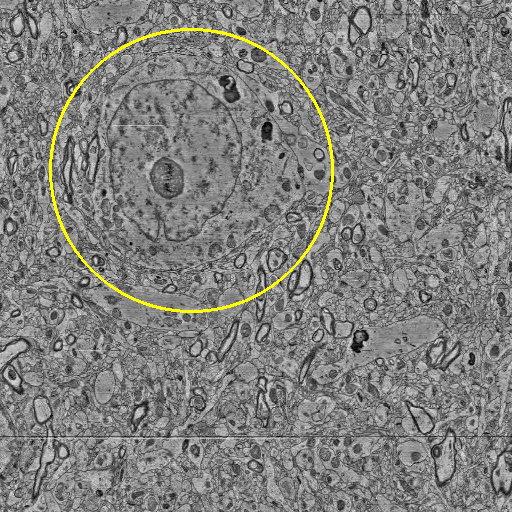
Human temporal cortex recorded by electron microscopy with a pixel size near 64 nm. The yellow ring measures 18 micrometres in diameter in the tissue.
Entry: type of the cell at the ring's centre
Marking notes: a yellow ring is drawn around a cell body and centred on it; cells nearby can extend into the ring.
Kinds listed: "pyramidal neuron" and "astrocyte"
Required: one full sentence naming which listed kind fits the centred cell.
My entry names a pyramidal neuron as the cell whose body the yellow ring centres on.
